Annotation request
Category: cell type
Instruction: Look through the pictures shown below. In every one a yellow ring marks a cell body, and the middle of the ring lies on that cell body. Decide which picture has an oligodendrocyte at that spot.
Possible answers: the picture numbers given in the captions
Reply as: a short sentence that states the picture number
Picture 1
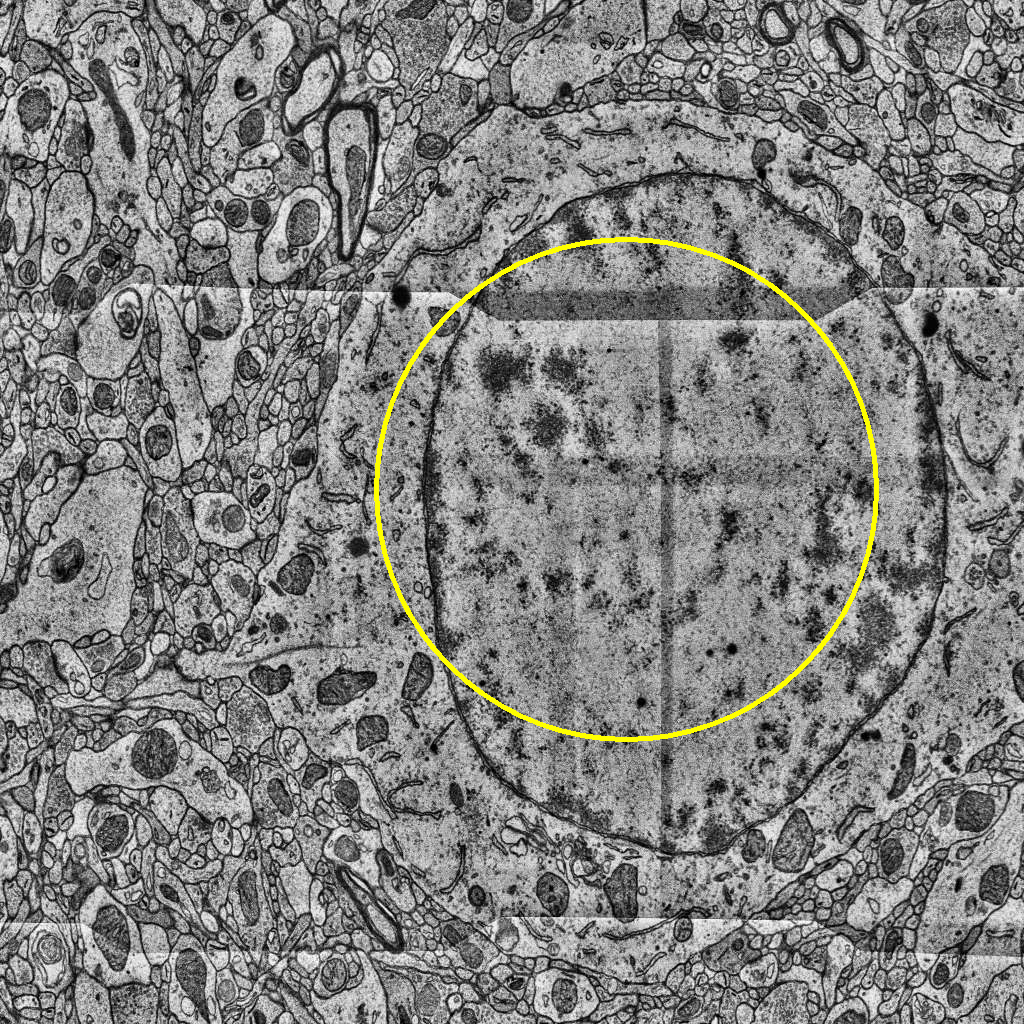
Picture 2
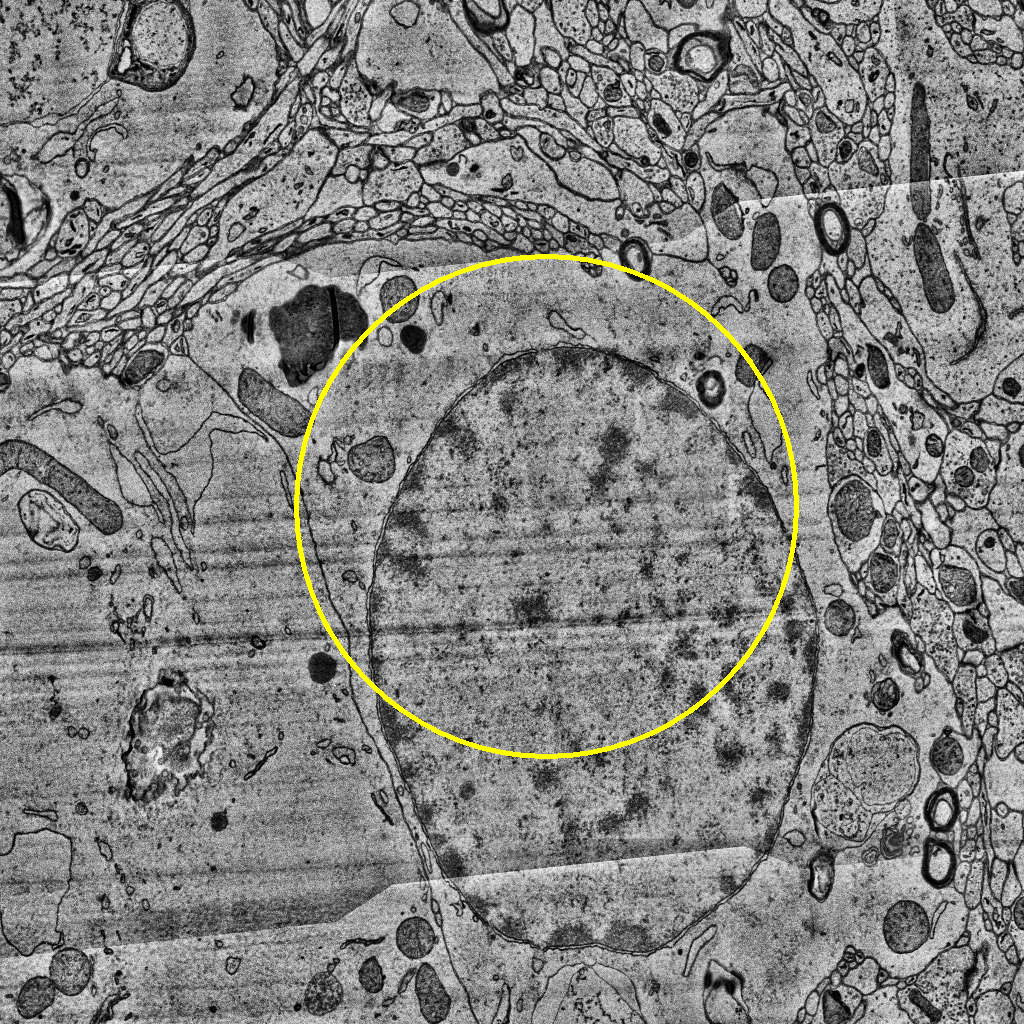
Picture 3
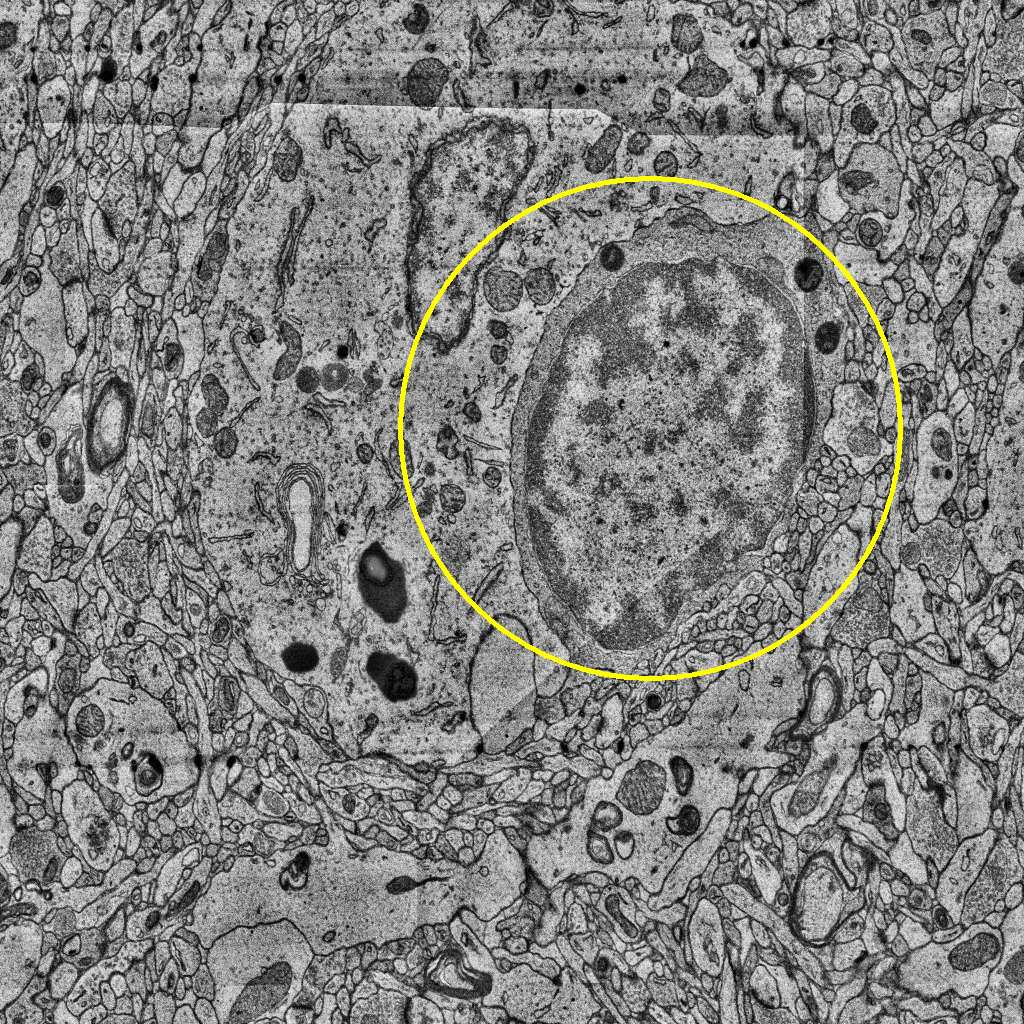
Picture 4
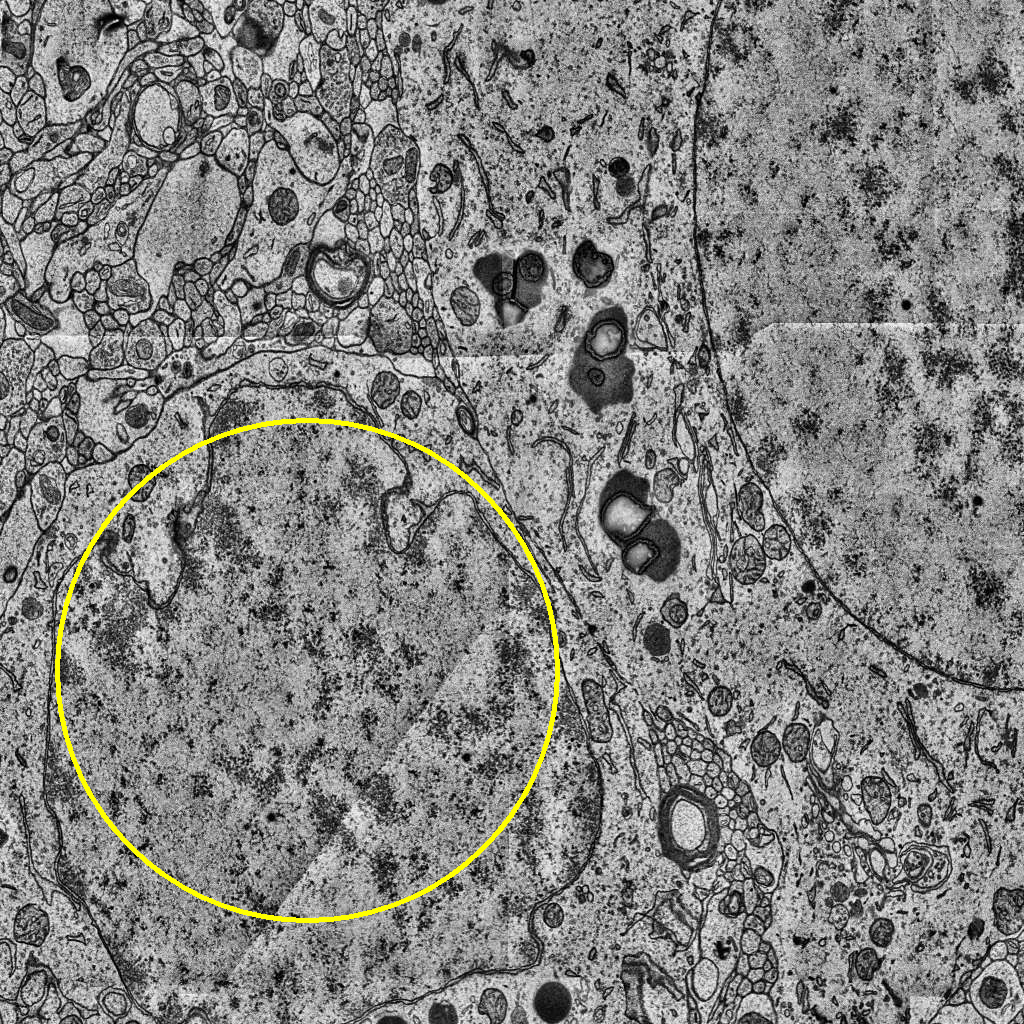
It is in Picture 3.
